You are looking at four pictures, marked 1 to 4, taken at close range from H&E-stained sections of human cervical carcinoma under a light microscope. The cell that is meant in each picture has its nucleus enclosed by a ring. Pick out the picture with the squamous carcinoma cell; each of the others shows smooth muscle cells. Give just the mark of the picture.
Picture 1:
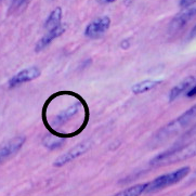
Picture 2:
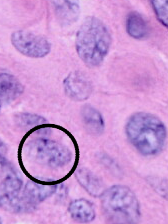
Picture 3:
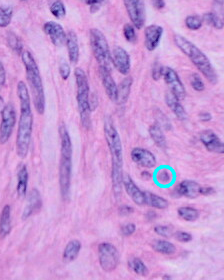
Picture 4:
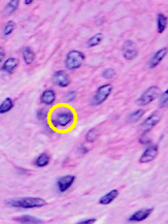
2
